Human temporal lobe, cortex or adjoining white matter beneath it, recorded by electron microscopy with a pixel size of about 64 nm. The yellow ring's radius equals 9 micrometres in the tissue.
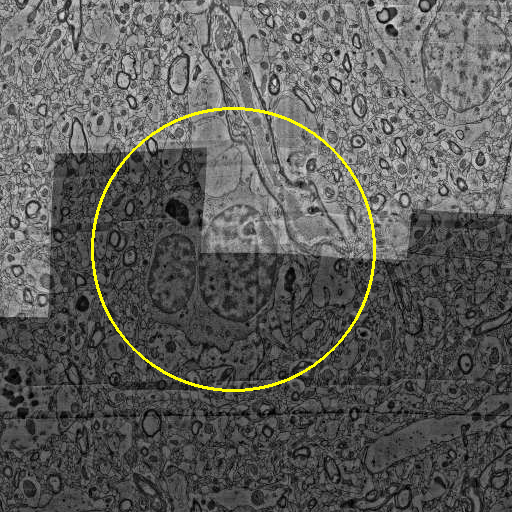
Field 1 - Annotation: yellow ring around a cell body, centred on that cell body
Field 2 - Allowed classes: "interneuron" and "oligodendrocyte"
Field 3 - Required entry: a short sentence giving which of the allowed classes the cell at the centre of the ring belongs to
The centred cell is an oligodendrocyte.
